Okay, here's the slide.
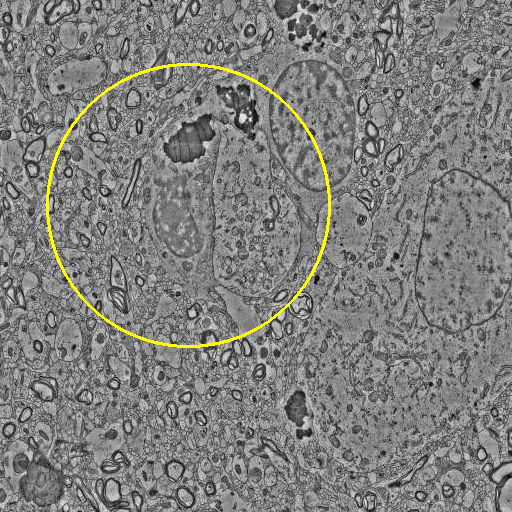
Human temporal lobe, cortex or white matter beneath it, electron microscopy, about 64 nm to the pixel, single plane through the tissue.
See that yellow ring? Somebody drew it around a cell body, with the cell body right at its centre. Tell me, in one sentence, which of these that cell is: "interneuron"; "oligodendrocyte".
The cell in the middle of the ring is an oligodendrocyte.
